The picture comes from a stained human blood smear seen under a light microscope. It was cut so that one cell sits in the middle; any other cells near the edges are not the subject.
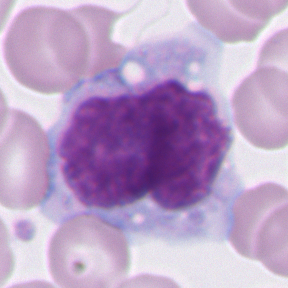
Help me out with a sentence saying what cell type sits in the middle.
In this smear crop, the middle cell is a monocyte.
